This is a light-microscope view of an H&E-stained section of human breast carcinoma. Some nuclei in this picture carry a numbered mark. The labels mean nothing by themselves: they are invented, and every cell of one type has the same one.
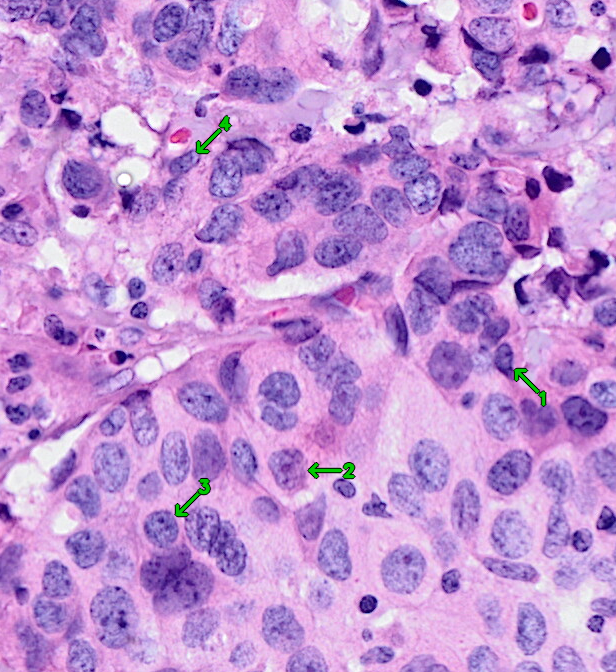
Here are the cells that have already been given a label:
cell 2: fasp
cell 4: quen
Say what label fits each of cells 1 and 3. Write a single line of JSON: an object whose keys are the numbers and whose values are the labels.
{"1": "fasp", "3": "fasp"}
